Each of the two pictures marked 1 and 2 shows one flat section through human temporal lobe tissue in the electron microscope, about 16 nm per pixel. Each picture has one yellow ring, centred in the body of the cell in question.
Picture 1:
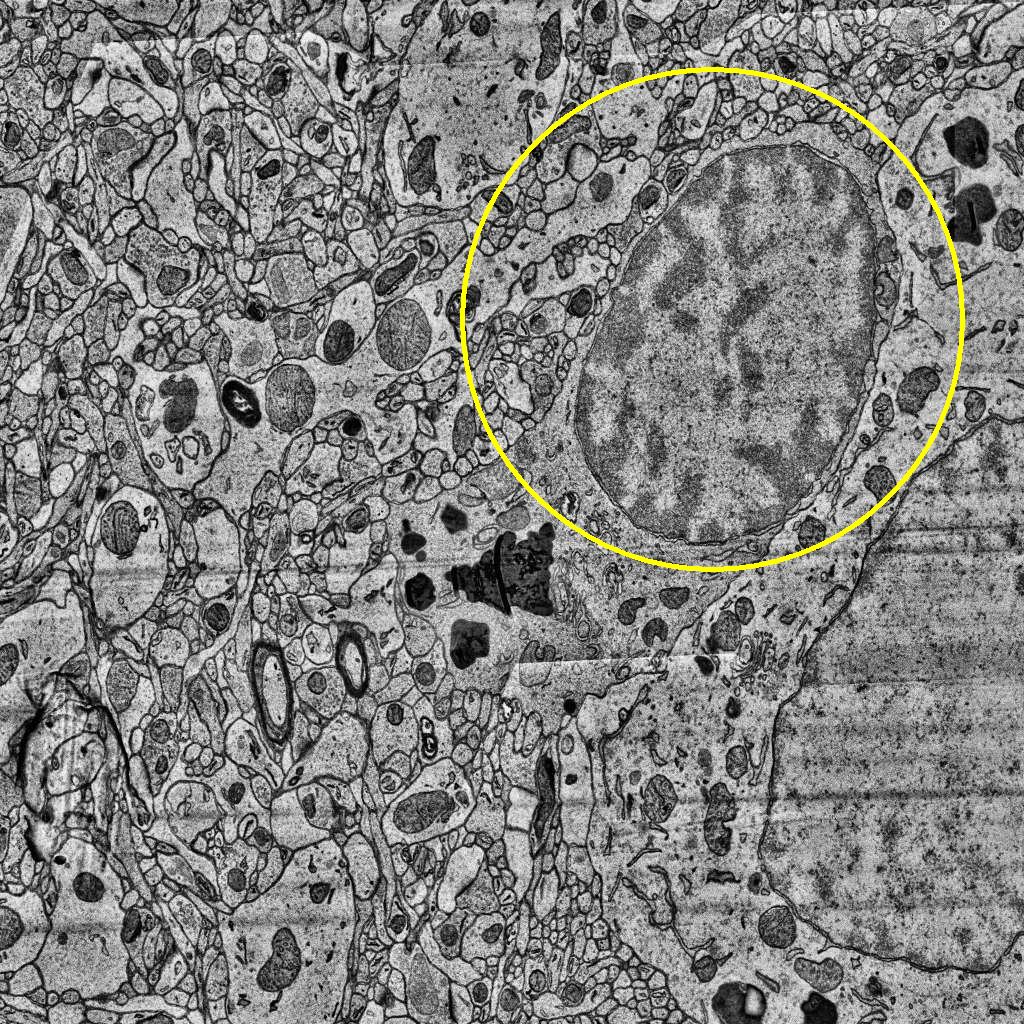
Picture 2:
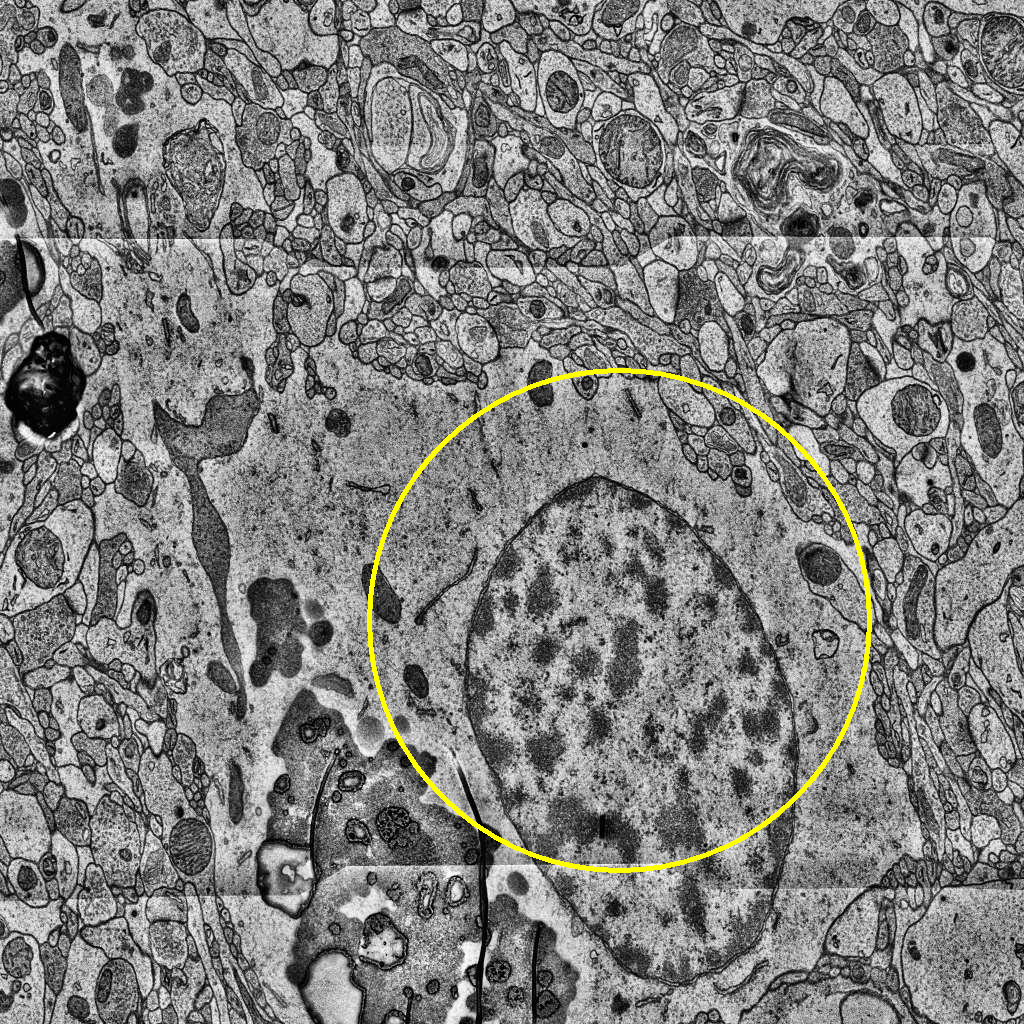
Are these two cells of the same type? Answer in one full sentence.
No; the cell in picture 1 is an oligodendrocyte, while the one in picture 2 is an astrocyte.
